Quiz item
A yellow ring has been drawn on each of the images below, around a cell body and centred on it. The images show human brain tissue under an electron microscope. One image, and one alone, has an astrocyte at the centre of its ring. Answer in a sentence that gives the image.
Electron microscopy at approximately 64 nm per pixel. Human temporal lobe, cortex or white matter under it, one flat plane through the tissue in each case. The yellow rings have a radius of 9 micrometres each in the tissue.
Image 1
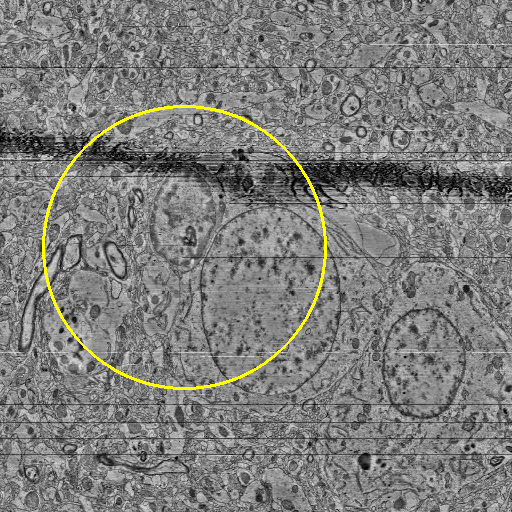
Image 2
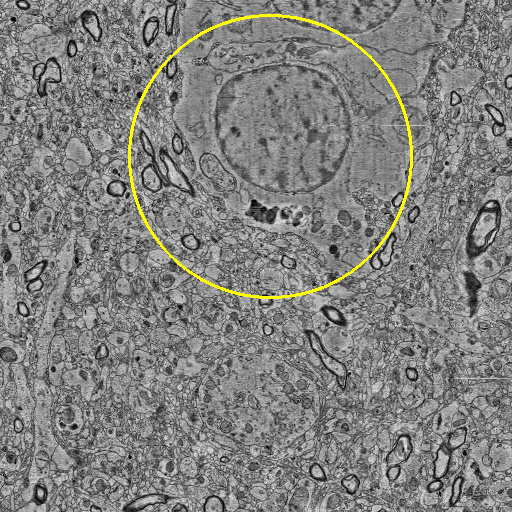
Image 2 shows it at the centre of the ring.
